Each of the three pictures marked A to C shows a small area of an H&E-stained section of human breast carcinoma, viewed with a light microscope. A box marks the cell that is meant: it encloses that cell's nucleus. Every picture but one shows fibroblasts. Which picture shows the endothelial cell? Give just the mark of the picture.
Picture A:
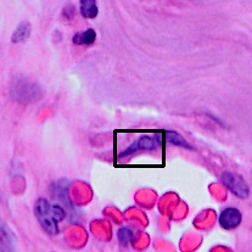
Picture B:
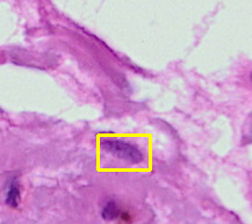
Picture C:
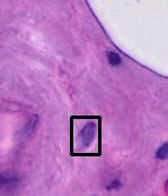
A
